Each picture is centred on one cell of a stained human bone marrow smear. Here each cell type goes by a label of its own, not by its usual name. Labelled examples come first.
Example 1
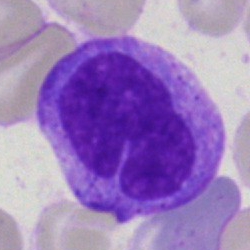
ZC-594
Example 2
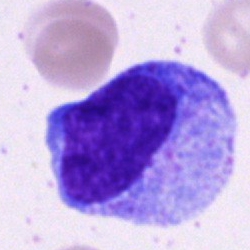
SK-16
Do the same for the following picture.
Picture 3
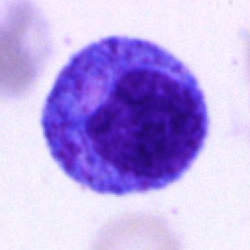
SK-16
